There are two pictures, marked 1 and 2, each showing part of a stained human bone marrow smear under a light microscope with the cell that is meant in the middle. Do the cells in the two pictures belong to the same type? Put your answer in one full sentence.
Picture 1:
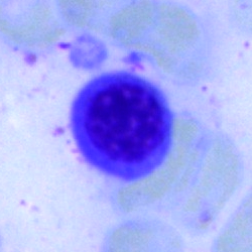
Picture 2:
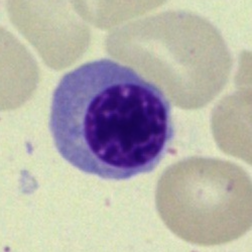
Yes, the two pictures both show erythroblasts.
